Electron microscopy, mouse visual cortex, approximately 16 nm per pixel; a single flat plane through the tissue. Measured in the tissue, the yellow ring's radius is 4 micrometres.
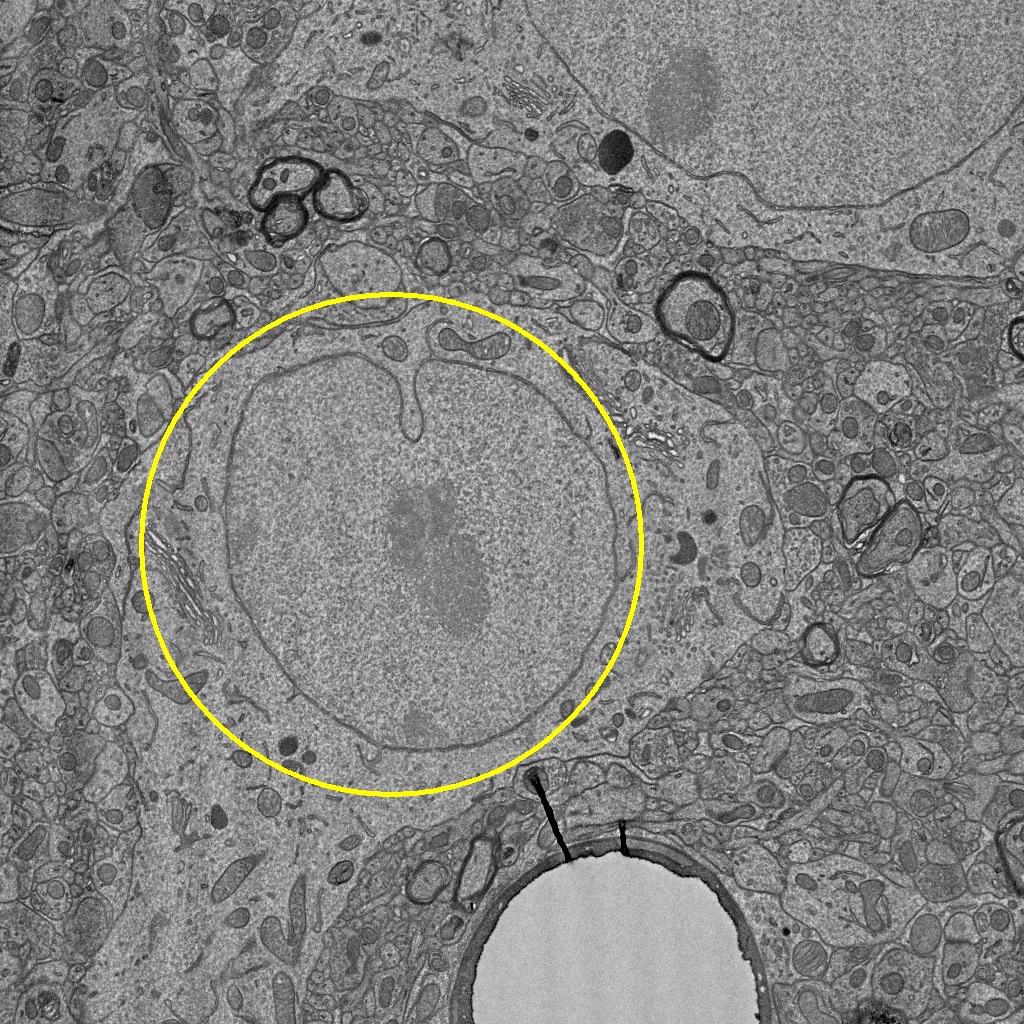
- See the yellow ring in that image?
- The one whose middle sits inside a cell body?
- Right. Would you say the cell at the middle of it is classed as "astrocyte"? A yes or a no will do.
no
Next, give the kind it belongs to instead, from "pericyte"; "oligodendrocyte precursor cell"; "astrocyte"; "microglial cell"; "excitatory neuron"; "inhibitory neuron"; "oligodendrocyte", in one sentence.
Instead, the ring surrounds an excitatory neuron in this picture.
